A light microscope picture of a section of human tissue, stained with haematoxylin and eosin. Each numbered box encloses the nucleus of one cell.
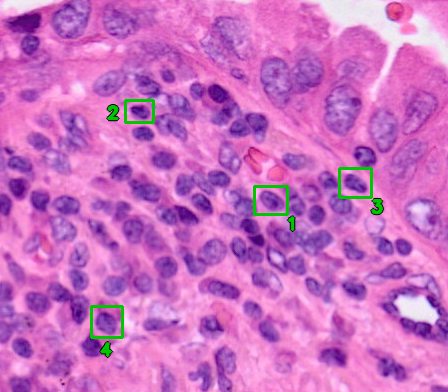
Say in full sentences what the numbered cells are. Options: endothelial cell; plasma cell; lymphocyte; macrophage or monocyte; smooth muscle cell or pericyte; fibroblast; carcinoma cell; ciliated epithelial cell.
Cell 1 is a lymphocyte, cell 2 is a lymphocyte, cell 3 is a lymphocyte and cell 4 is a plasma cell.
